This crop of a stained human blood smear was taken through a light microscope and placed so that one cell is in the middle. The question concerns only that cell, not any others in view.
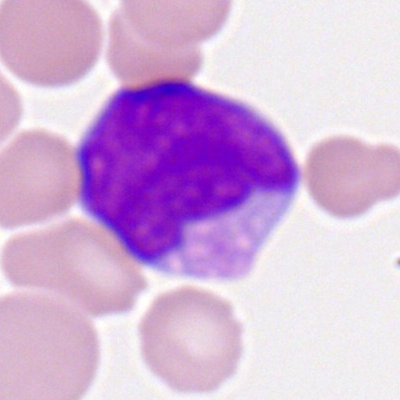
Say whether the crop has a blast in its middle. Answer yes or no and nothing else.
yes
